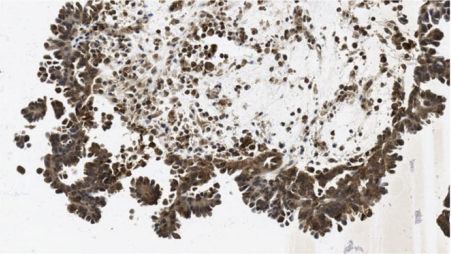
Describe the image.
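A thick, folded layer of crowded epithelial tumour cells, stained dark brown, lines the outer edge and buds off in small papillary tufts. Beneath it lies a paler, loose tissue with scattered smaller cells, many also with brown nuclei.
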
